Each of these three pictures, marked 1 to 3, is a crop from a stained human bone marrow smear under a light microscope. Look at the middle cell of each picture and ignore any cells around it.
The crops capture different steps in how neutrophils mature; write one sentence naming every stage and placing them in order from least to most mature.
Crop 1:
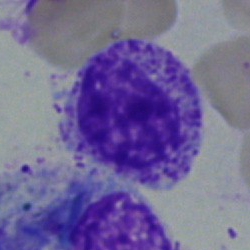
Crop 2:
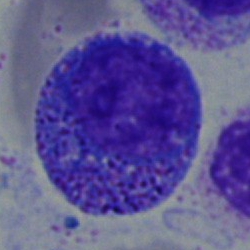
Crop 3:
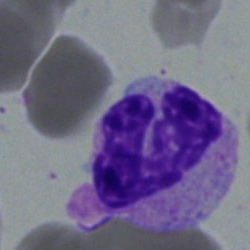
Counting from the least mature up to the most mature, the order is crop 2 (a promyelocyte), crop 1 (a myelocyte) and crop 3 (a band neutrophil).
